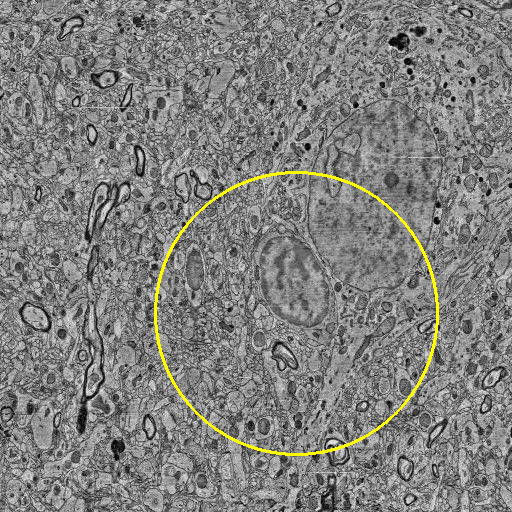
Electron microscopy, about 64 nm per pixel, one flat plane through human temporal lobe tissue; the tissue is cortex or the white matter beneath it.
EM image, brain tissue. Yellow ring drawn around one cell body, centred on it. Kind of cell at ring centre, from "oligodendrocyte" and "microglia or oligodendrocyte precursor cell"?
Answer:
oligodendrocyte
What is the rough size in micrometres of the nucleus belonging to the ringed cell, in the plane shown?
Roughly 6 by 4 micrometres in this plane, for the nucleus of the ringed cell.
